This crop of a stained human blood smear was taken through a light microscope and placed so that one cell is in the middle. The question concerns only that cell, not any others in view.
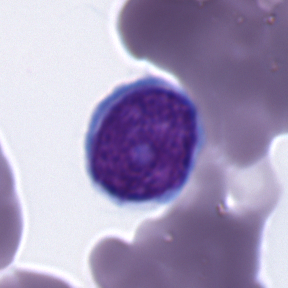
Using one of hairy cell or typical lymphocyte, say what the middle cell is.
typical lymphocyte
